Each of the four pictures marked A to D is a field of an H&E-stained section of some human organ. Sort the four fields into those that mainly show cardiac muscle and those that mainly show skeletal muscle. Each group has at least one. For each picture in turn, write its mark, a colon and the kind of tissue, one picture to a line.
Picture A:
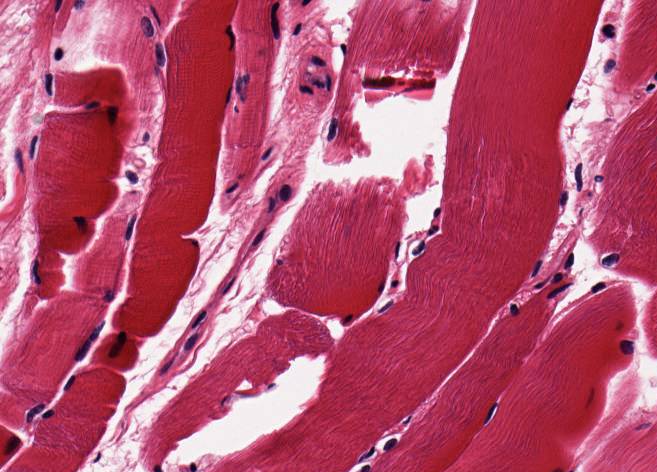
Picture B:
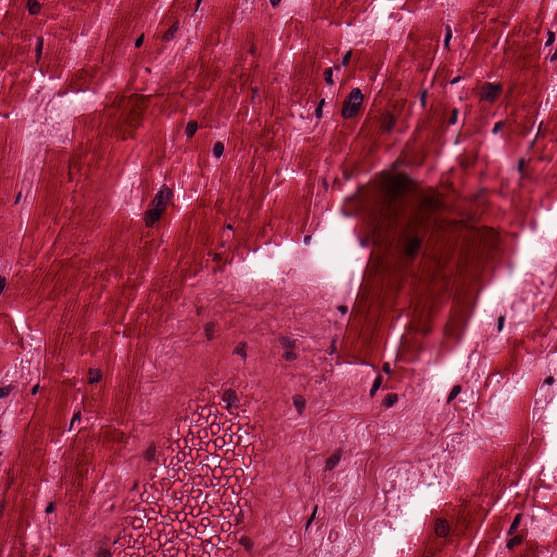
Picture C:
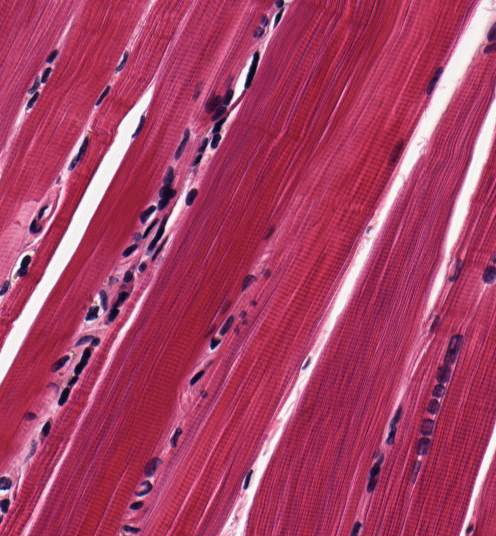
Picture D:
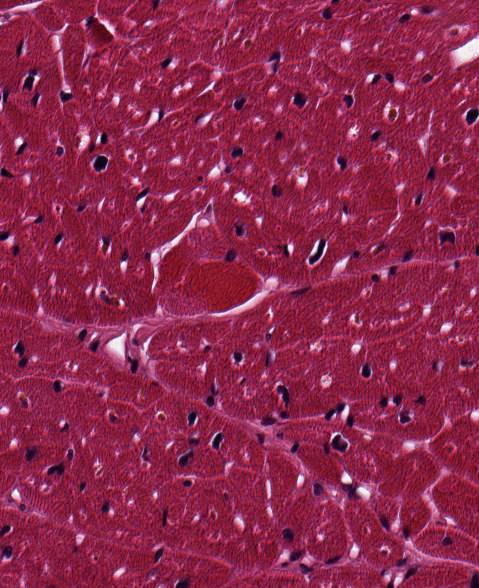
A: skeletal muscle
B: cardiac muscle
C: skeletal muscle
D: cardiac muscle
